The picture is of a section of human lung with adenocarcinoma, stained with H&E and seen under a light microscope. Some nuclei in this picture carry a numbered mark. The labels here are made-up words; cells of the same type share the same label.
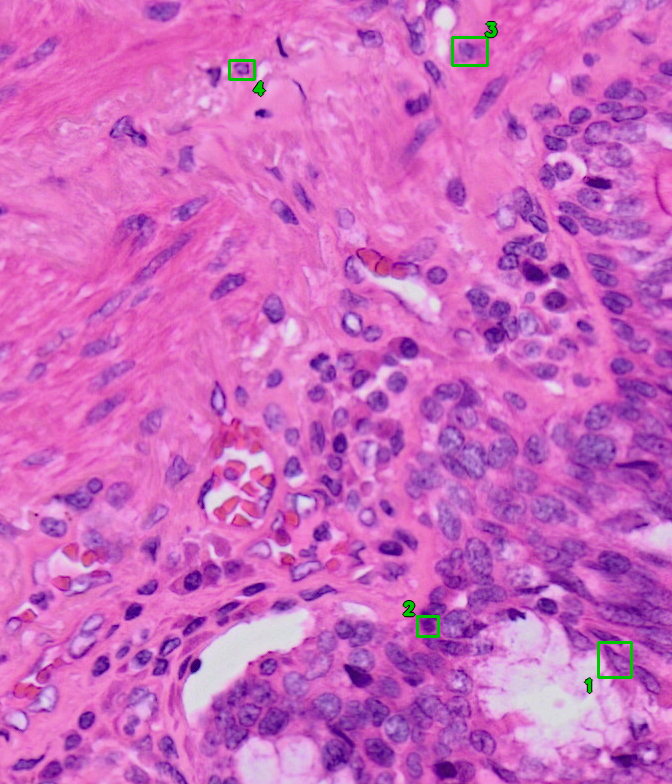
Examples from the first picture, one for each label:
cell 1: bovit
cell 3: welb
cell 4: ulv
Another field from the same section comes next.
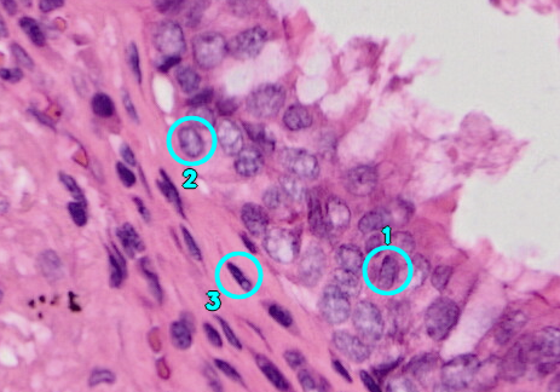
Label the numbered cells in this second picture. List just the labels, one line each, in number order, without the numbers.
bovit
bovit
ulv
